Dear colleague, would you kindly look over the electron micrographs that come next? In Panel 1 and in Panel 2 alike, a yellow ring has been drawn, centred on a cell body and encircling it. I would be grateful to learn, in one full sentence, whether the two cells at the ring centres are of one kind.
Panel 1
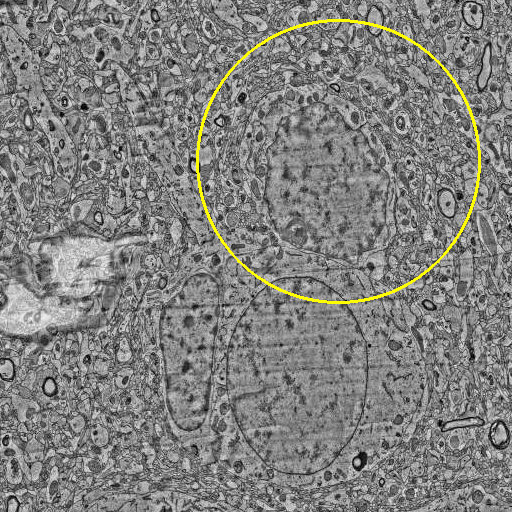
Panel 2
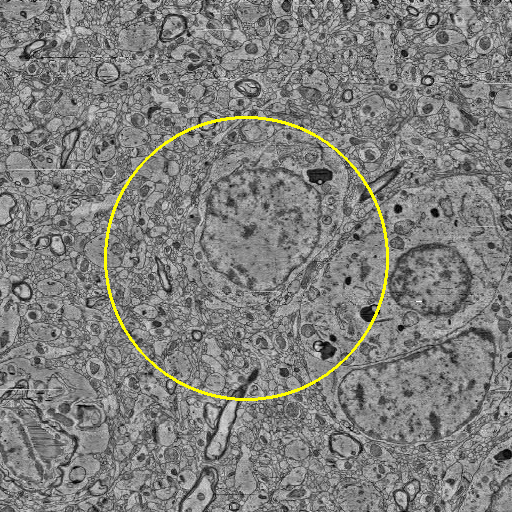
Yes, the cells in the middle of the rings in the two panels are of one kind.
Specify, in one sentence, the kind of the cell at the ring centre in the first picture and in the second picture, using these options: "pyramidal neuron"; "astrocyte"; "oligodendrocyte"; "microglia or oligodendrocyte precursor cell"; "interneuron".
Each one of the two ringed cells is an interneuron.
